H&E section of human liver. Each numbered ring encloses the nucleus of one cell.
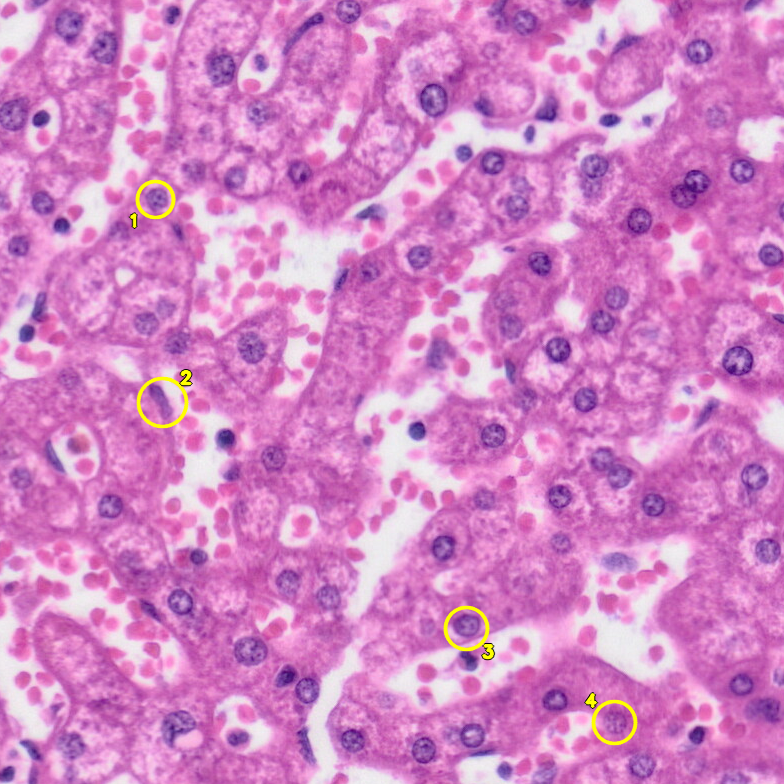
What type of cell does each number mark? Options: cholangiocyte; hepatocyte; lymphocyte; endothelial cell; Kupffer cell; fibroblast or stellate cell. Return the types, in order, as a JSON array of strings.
["hepatocyte", "Kupffer cell", "hepatocyte", "hepatocyte"]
